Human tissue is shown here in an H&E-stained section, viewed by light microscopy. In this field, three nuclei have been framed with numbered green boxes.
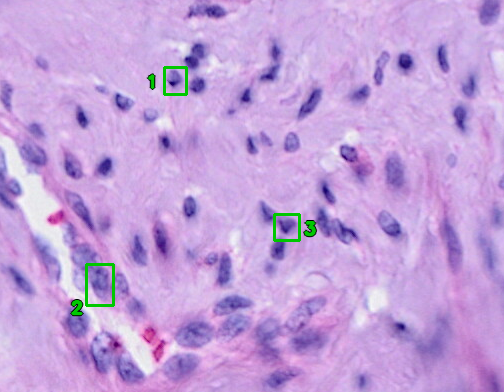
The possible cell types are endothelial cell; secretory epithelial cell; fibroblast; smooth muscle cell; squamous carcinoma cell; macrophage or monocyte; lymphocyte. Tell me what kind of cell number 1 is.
fibroblast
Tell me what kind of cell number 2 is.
endothelial cell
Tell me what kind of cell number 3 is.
fibroblast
